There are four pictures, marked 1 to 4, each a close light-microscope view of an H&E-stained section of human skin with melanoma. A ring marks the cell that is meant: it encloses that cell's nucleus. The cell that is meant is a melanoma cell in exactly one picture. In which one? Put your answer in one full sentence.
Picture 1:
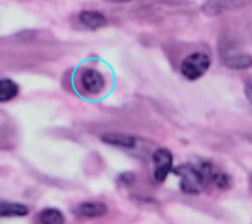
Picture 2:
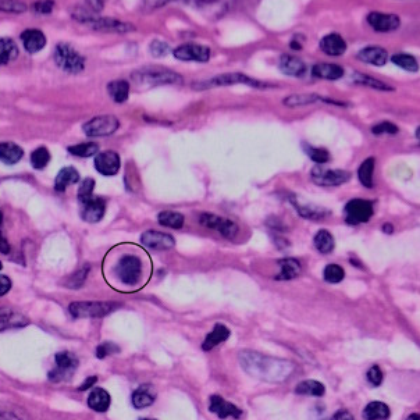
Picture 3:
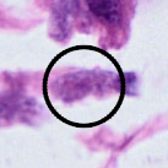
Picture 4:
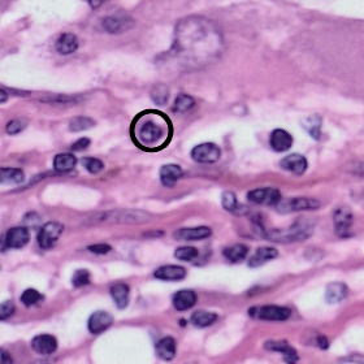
It is picture 3 that shows the melanoma cell.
